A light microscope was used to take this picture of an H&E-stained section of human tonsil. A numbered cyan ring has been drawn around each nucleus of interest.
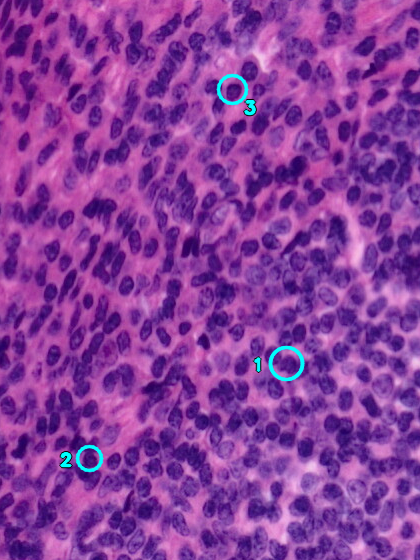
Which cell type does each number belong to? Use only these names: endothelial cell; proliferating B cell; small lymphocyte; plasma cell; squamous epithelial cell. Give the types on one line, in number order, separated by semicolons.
small lymphocyte; small lymphocyte; plasma cell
